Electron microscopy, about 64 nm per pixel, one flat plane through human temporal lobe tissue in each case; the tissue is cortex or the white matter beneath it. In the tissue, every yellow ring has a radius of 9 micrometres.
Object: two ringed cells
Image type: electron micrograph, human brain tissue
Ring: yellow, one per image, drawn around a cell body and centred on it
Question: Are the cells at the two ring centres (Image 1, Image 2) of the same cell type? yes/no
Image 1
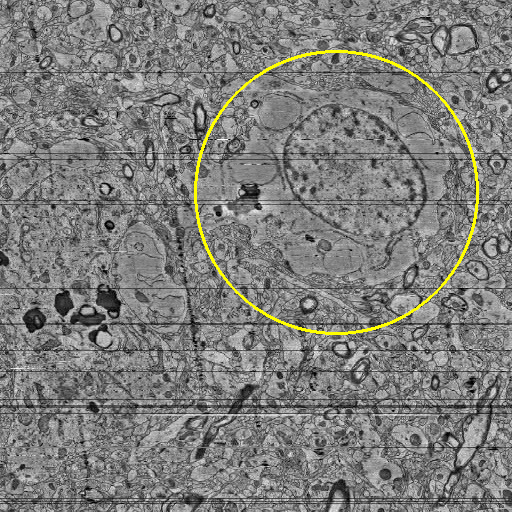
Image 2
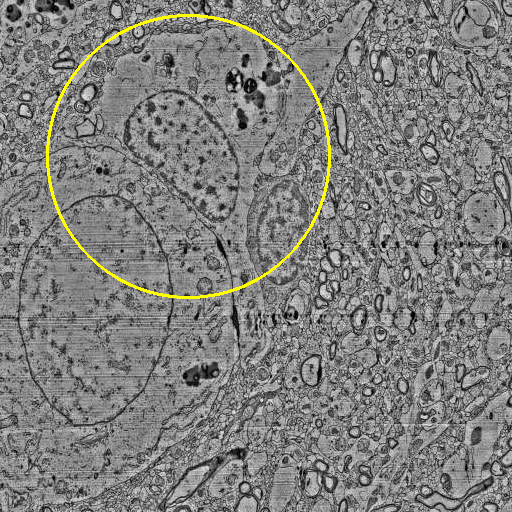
yes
